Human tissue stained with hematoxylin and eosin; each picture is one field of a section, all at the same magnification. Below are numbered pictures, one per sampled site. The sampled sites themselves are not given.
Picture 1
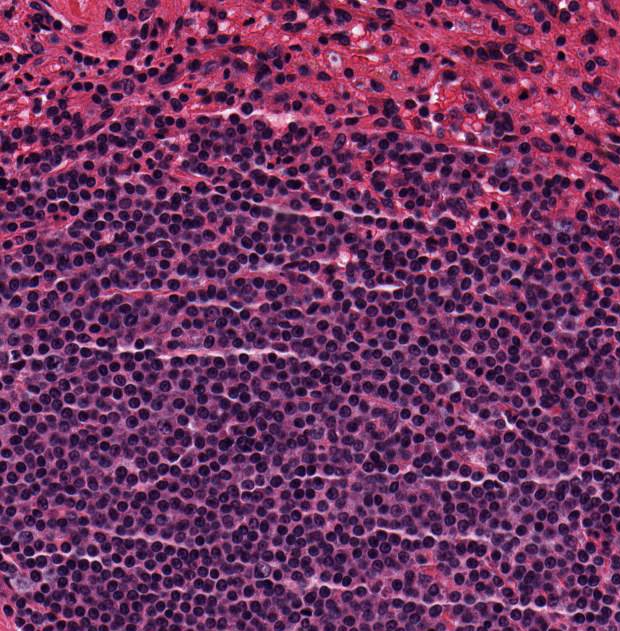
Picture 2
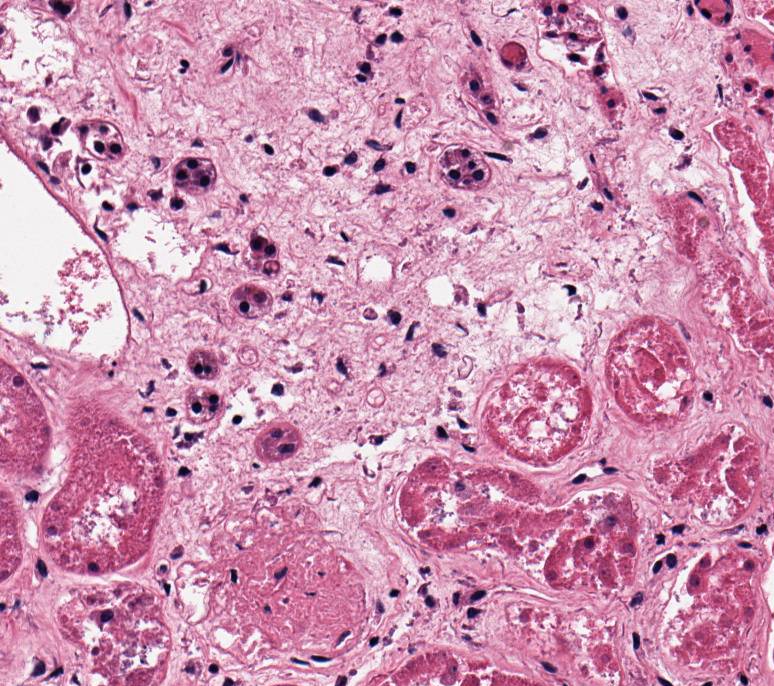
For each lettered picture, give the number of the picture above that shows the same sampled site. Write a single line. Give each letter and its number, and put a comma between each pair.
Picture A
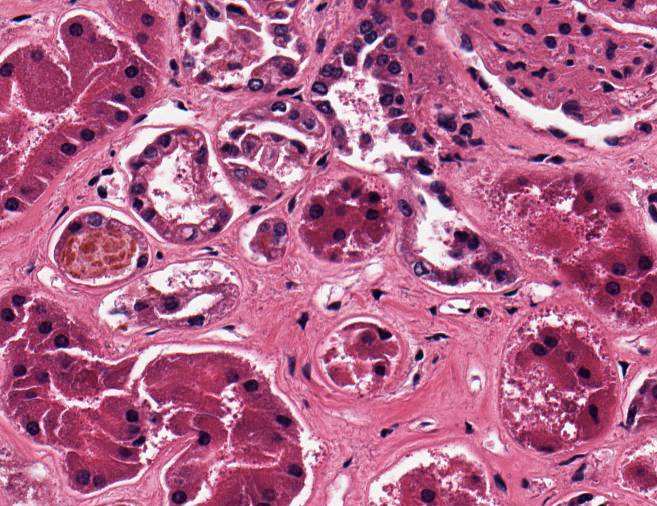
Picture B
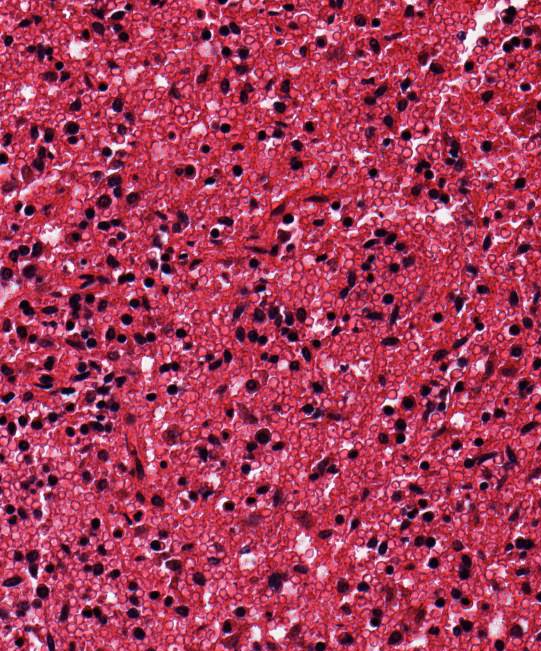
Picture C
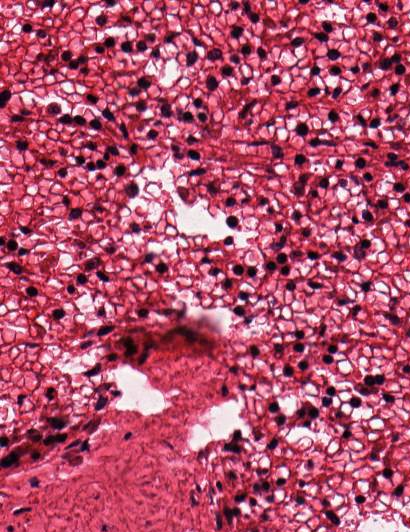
A 2, B 1, C 1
